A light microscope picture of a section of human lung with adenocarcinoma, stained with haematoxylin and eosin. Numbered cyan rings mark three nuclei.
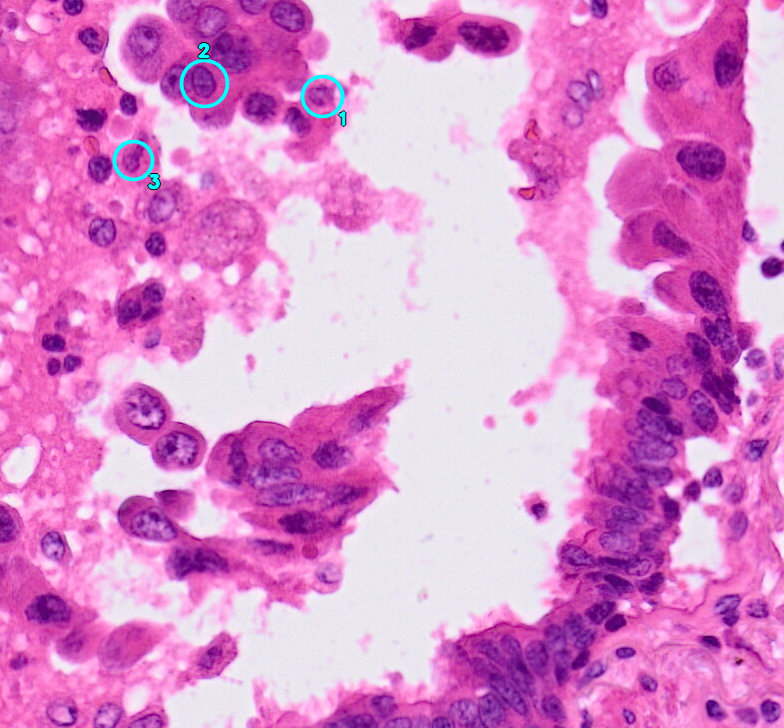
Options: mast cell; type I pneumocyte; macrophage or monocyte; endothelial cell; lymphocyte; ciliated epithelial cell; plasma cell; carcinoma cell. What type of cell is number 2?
carcinoma cell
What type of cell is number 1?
macrophage or monocyte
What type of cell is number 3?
macrophage or monocyte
